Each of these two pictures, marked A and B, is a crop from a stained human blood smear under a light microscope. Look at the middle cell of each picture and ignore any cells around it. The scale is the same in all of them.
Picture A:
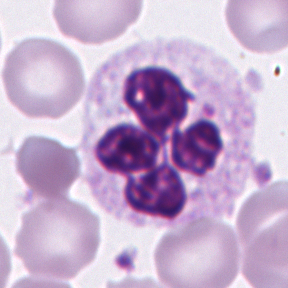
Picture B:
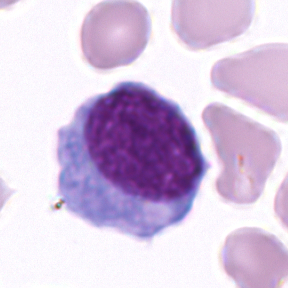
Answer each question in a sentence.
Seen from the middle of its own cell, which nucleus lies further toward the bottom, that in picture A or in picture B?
In picture A the nucleus is shifted more toward the bottom.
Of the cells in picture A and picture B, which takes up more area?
It is the cell in picture A, about 1.5 times as large in area as the cell in picture B.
